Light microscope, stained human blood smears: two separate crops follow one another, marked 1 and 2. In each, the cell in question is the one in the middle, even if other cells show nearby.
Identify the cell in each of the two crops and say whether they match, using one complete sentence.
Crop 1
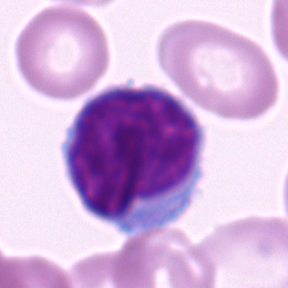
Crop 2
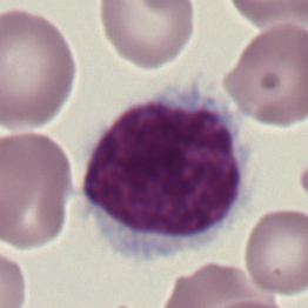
No, crop 1 has a typical lymphocyte at its center, and crop 2 has a hairy cell.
